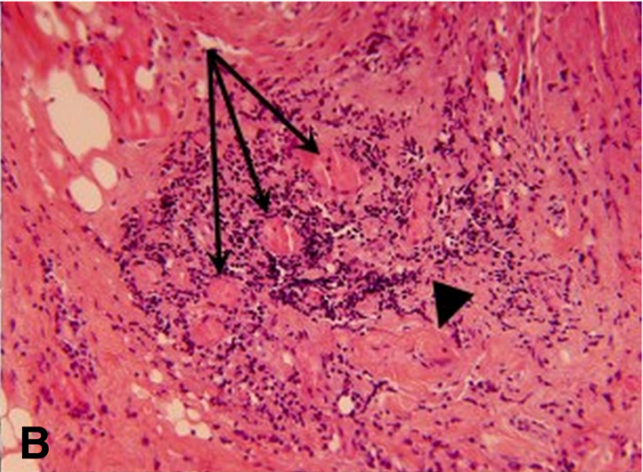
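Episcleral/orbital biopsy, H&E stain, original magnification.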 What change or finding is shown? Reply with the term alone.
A: Chronic inflammation in a background of fibrosis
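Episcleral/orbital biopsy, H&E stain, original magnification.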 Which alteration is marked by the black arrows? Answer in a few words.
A: vasculo-centric component to the inflammation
